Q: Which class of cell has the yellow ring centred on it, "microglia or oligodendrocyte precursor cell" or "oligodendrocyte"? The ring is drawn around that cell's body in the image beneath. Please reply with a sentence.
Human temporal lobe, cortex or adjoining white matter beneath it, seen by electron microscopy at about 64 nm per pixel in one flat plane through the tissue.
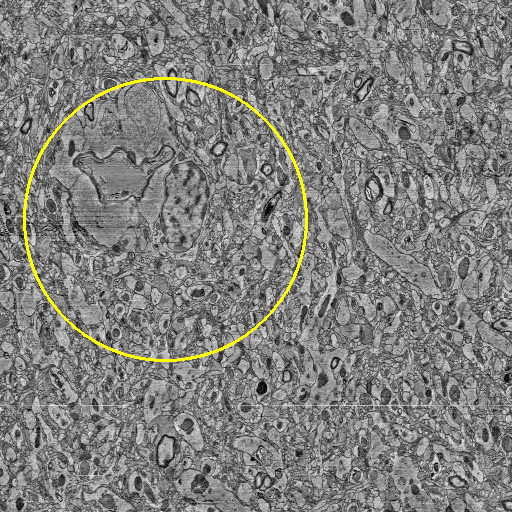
It is centred on a microglial cell or oligodendrocyte precursor cell.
